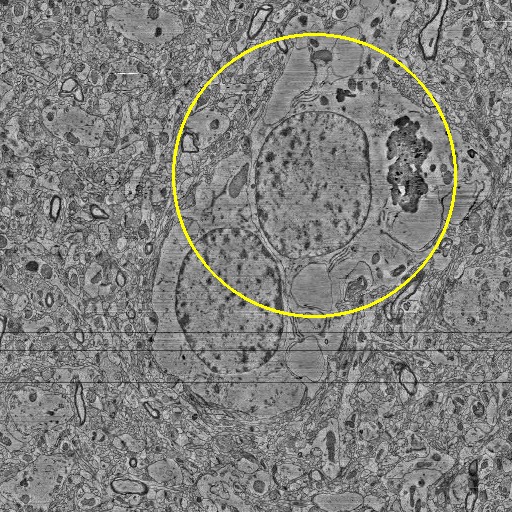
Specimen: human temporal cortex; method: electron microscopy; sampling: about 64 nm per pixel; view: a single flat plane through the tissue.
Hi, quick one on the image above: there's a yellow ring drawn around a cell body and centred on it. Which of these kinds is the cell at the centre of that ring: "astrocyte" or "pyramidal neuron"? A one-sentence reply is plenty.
The cell at the centre of the ring is an astrocyte.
